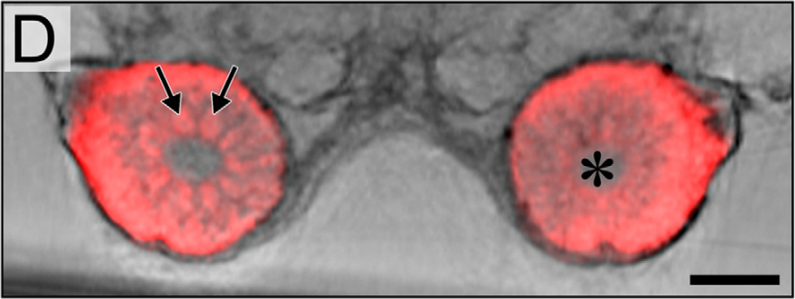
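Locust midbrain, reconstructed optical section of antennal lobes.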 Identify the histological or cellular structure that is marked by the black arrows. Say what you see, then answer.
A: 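The units form a ring around a grey, unlabelled center.
Hence: glomeruli.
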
